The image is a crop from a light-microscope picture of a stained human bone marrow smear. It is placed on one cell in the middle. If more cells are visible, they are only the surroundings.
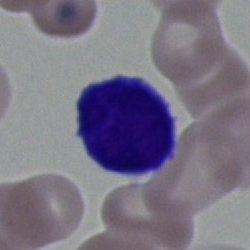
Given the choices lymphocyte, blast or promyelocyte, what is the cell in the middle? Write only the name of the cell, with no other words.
lymphocyte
